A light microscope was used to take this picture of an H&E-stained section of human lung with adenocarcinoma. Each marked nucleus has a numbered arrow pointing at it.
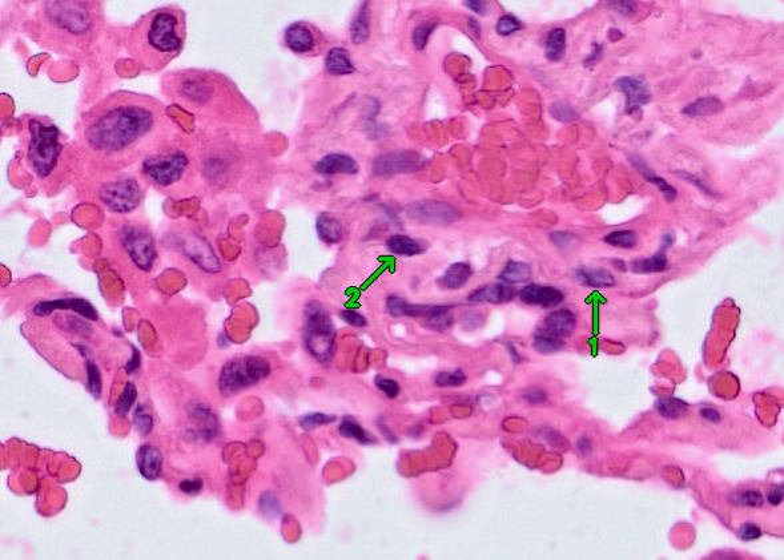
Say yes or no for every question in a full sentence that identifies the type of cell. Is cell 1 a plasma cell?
No, cell 1 is a fibroblast, not a plasma cell.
